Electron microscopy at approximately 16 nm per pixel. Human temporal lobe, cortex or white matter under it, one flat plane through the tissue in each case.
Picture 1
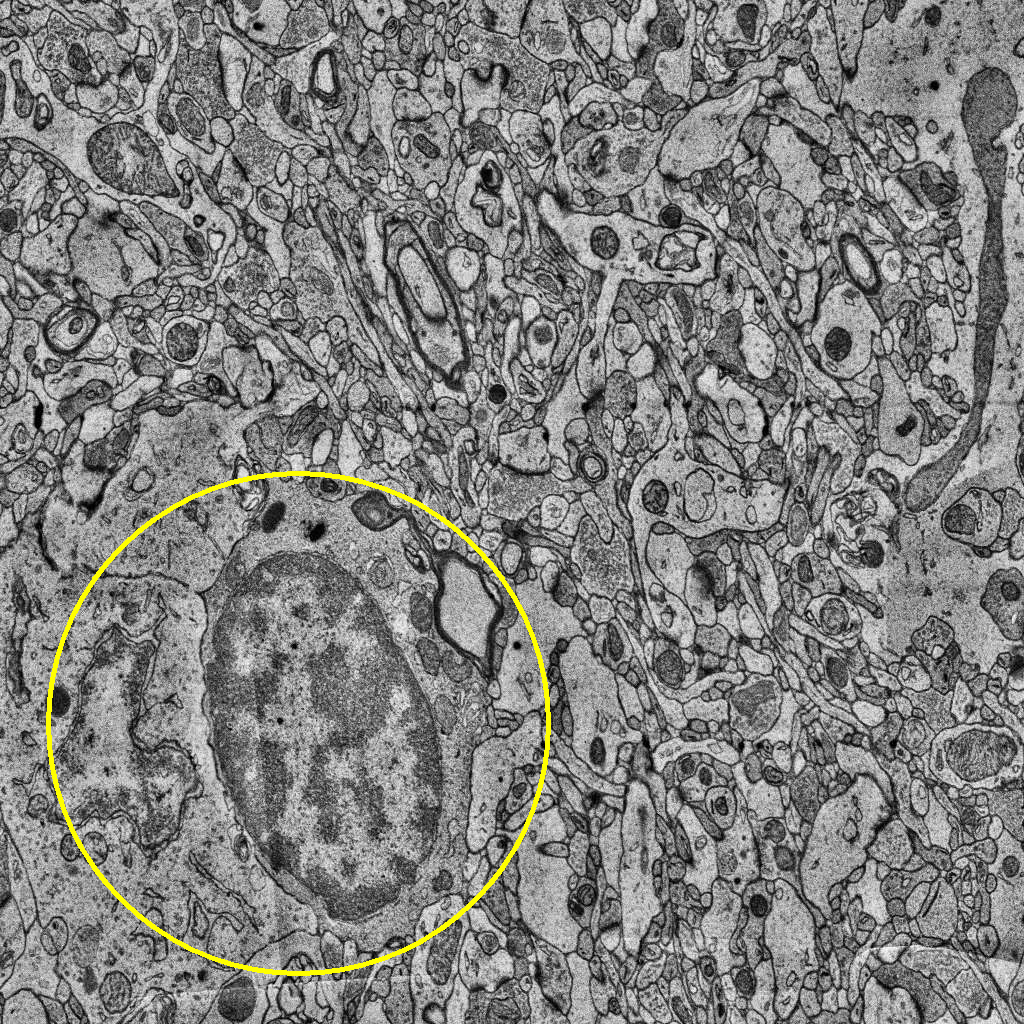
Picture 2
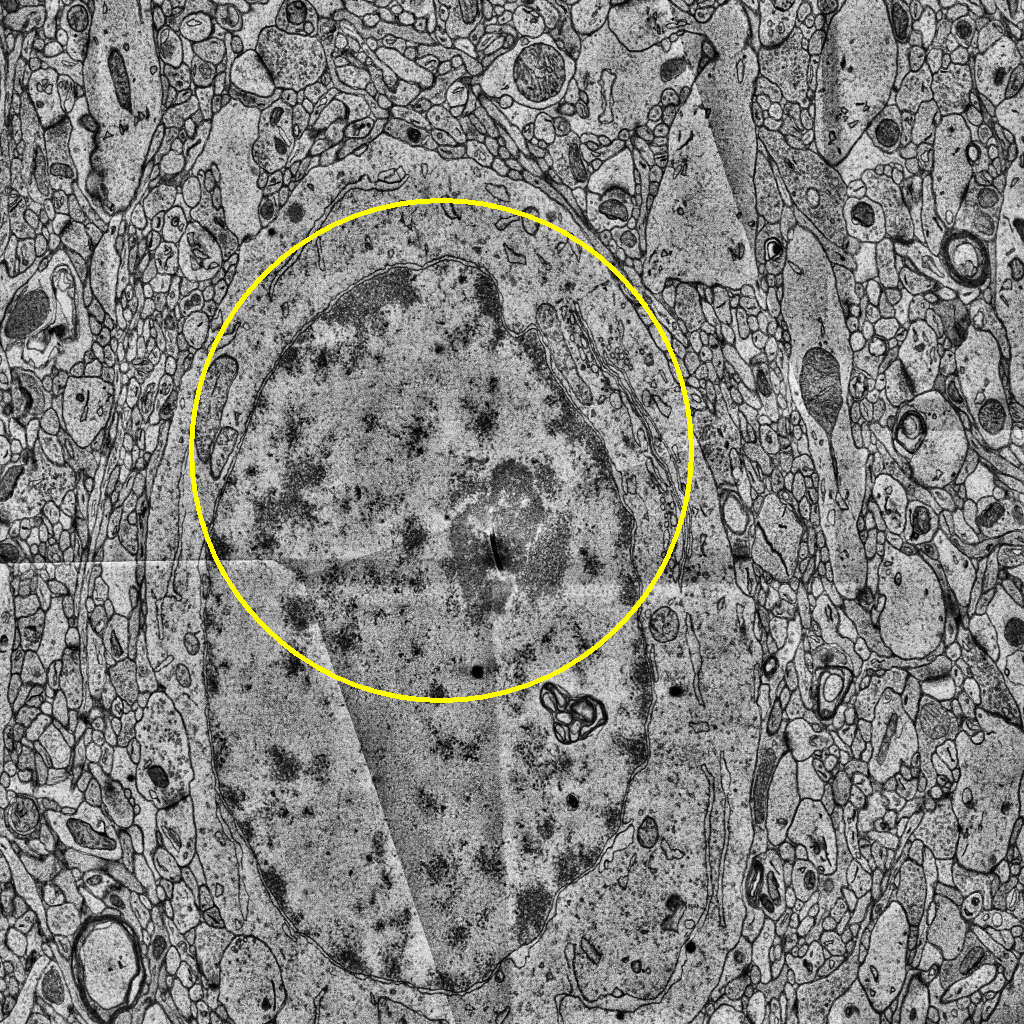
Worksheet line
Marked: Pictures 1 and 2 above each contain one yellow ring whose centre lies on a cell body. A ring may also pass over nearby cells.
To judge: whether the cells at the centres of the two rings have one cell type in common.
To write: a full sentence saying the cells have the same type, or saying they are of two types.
The cells at the centres of the rings in Picture 1 and Picture 2 are of two types.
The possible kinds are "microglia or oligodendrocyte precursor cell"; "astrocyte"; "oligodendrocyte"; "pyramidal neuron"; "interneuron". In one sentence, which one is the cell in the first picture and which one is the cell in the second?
The first of the two cells is an oligodendrocyte, and the second is an interneuron.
